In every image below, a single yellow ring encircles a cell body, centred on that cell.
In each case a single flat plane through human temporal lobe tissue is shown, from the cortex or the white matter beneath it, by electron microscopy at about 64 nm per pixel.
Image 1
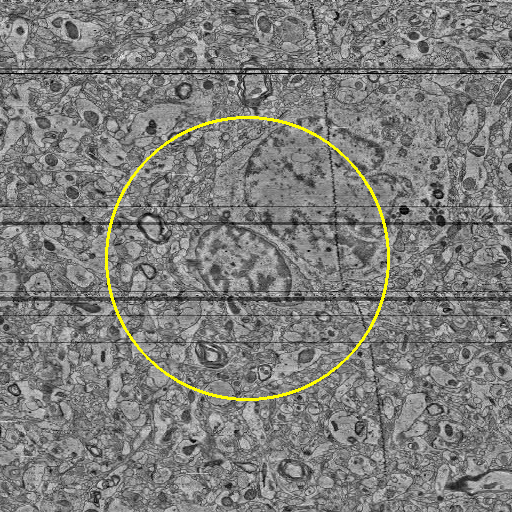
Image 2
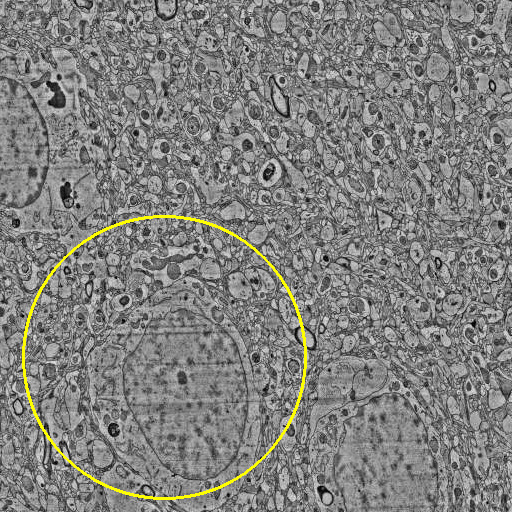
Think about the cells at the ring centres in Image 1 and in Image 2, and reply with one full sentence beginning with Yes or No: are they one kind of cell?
No, the cells centred in the rings of Image 1 and Image 2 are two kinds of cell.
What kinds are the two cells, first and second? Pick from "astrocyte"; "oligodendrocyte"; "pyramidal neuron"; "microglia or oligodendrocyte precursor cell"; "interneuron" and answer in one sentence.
The second picture holds an interneuron in its ring, and the first holds an oligodendrocyte.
